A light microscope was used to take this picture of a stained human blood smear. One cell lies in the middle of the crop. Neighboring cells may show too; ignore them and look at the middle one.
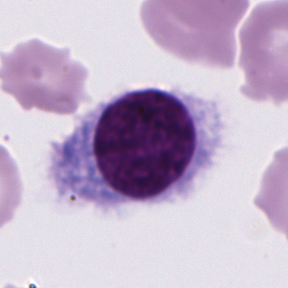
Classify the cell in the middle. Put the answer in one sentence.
The cell nearest the centre of this crop is a hairy cell.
